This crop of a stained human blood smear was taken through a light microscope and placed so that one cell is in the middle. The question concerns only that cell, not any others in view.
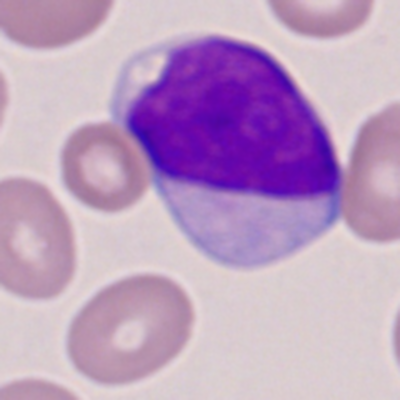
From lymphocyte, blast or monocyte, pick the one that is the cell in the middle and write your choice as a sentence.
This crop's central cell is a blast.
